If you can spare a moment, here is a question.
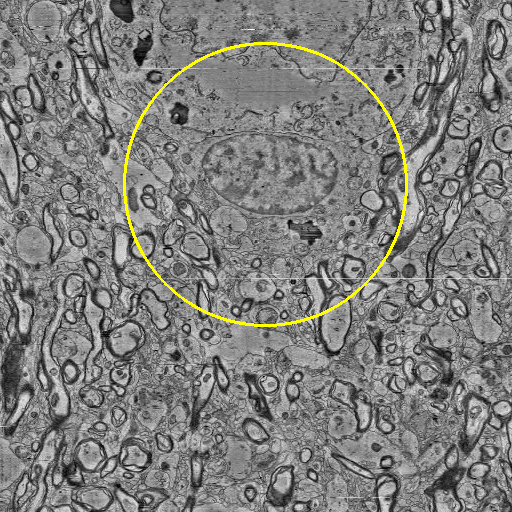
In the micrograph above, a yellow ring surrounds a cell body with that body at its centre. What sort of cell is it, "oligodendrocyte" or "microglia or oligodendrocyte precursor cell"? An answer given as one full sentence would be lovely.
Centred inside the yellow ring, the cell body shown belongs to an oligodendrocyte in this micrograph.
